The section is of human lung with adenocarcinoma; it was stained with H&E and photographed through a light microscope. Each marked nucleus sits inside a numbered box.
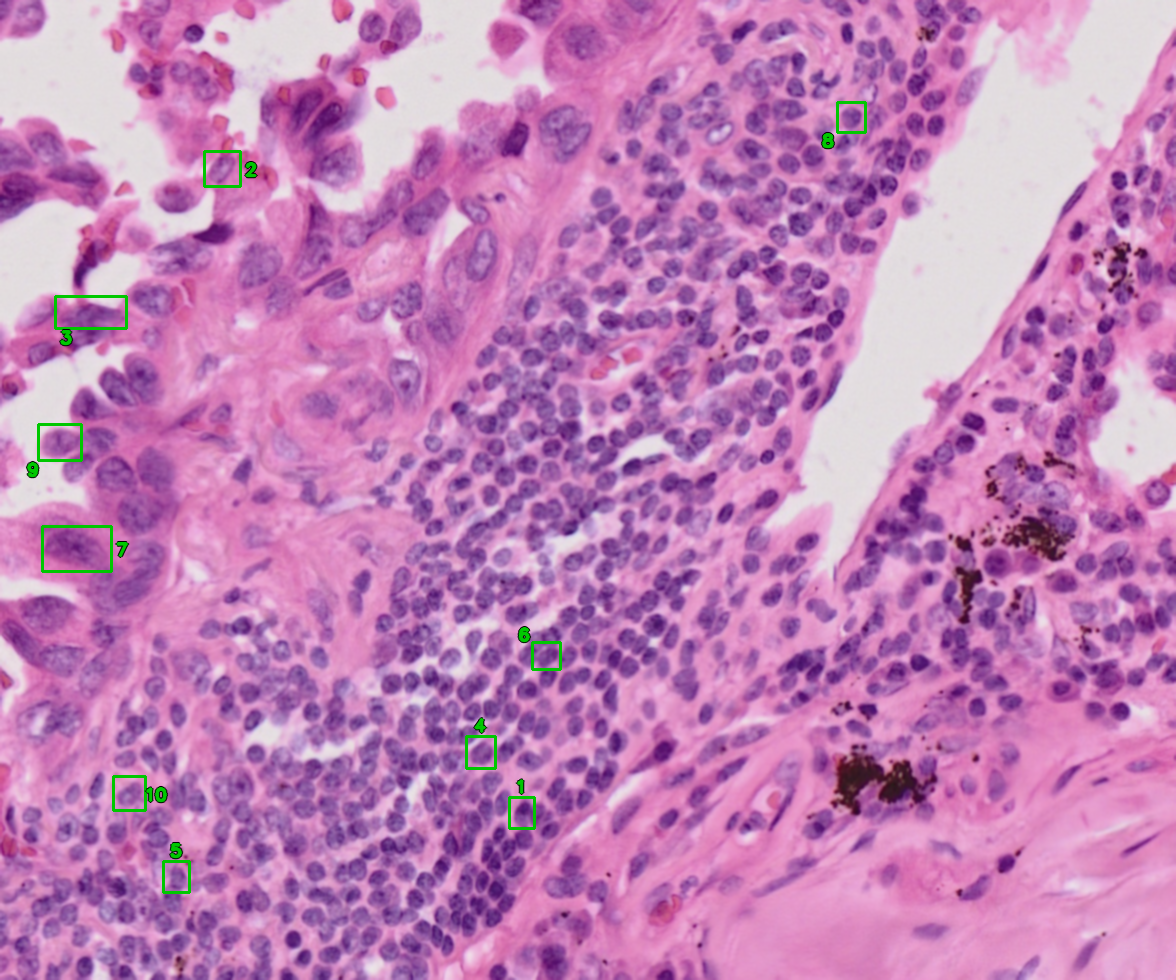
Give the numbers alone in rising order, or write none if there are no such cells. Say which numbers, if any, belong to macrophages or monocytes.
2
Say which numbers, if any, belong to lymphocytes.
1, 4, 5, 6, 8, 10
